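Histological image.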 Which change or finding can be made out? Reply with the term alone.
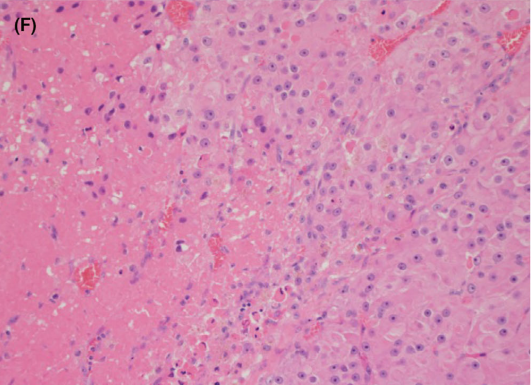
Necrosis.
